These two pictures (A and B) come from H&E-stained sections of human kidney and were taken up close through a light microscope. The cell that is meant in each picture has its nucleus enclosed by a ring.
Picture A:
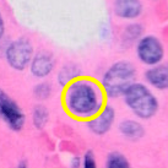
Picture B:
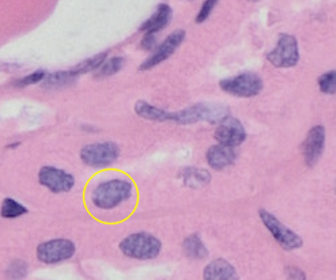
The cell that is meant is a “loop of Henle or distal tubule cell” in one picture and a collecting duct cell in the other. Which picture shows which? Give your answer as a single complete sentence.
The cell in picture A is a collecting duct cell, and the one in picture B is a “loop of Henle or distal tubule cell”.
